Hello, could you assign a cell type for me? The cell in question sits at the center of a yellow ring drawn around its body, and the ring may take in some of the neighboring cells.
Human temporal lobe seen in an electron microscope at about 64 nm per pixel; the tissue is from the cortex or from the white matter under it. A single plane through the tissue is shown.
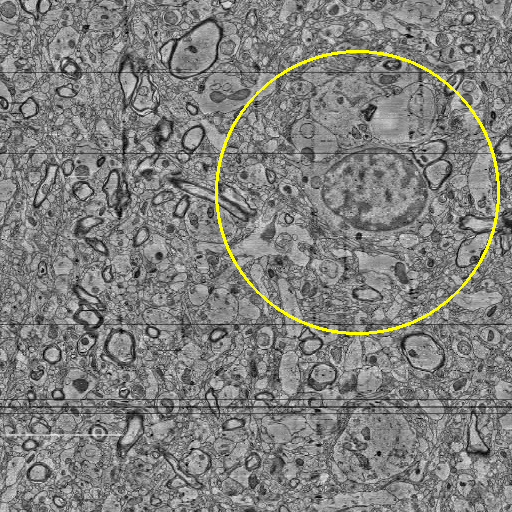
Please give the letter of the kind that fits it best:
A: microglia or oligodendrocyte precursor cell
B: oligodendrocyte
B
